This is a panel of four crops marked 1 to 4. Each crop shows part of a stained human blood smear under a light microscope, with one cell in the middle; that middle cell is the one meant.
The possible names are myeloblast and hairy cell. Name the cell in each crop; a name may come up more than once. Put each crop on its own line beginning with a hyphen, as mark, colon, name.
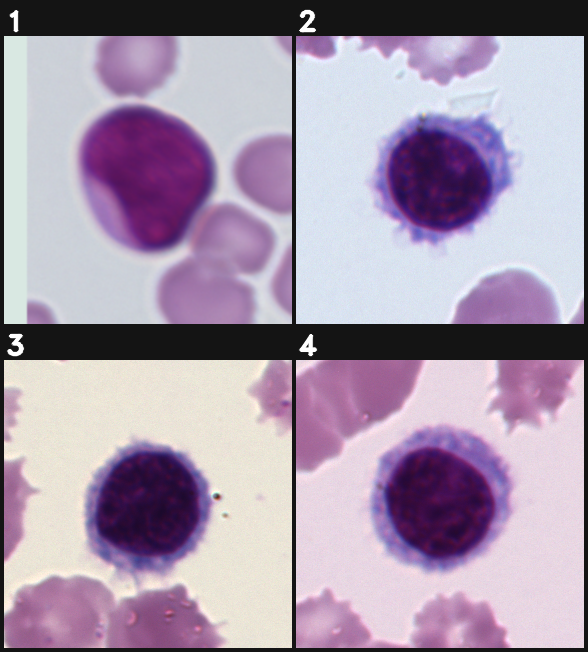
- 1: myeloblast
- 2: hairy cell
- 3: hairy cell
- 4: hairy cell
